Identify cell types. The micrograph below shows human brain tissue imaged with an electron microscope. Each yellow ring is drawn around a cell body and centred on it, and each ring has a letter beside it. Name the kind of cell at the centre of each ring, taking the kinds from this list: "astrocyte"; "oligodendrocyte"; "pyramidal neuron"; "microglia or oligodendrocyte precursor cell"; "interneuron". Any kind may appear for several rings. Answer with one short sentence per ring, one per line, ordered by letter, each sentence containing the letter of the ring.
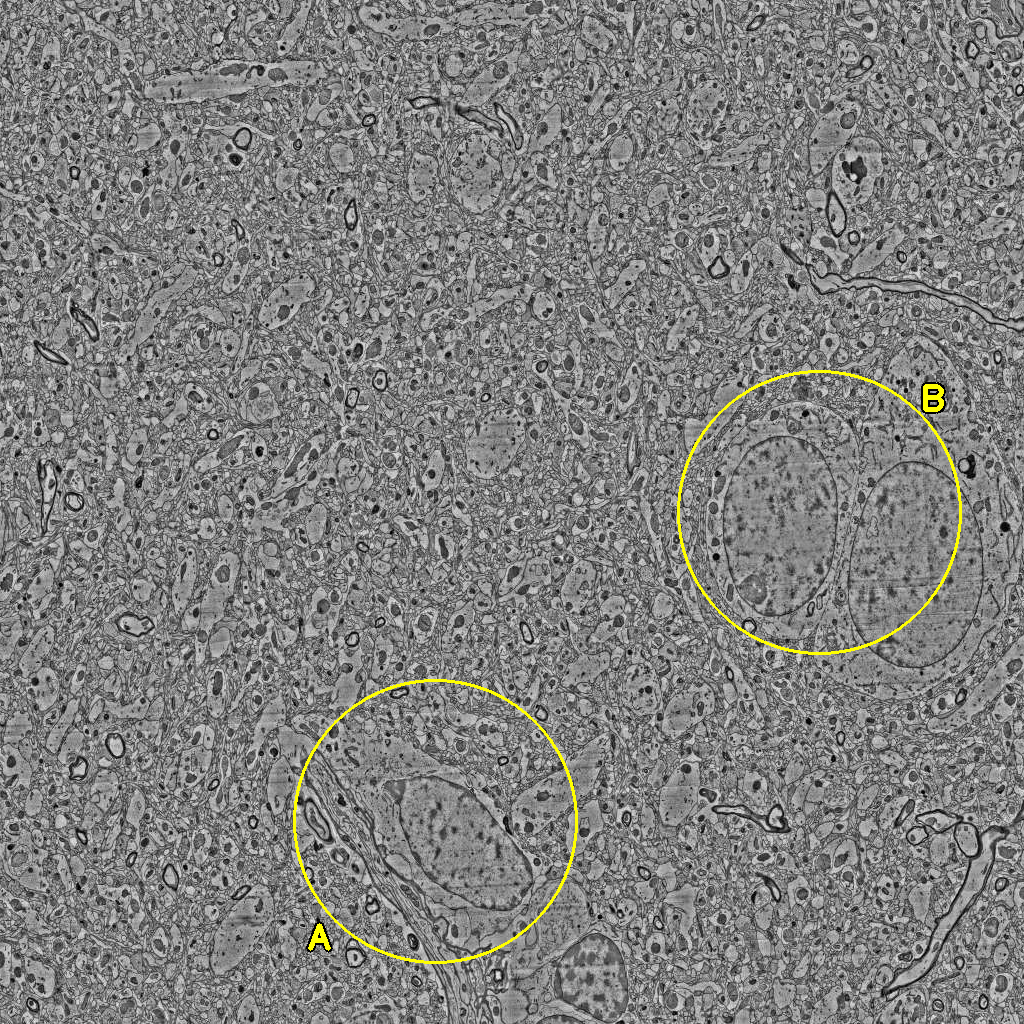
Ring A marks a microglial cell or oligodendrocyte precursor cell.
Ring B marks a pyramidal neuron.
